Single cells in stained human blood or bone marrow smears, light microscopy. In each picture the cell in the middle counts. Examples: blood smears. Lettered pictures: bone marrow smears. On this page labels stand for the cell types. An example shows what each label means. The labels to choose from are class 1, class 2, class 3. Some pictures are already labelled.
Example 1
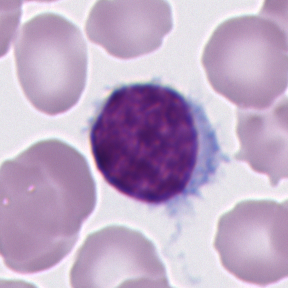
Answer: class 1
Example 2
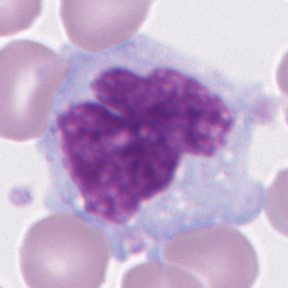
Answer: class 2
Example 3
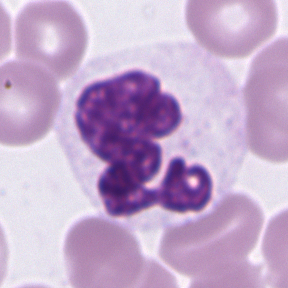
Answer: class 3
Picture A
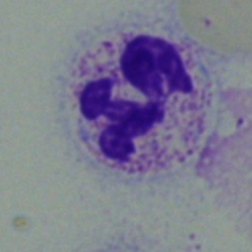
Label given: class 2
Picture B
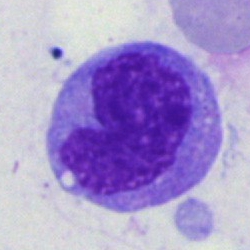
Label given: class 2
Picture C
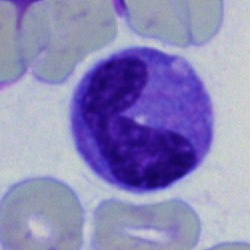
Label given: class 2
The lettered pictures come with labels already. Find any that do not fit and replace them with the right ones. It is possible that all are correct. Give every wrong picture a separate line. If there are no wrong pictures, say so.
A is labelled class 2; correct label: class 3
